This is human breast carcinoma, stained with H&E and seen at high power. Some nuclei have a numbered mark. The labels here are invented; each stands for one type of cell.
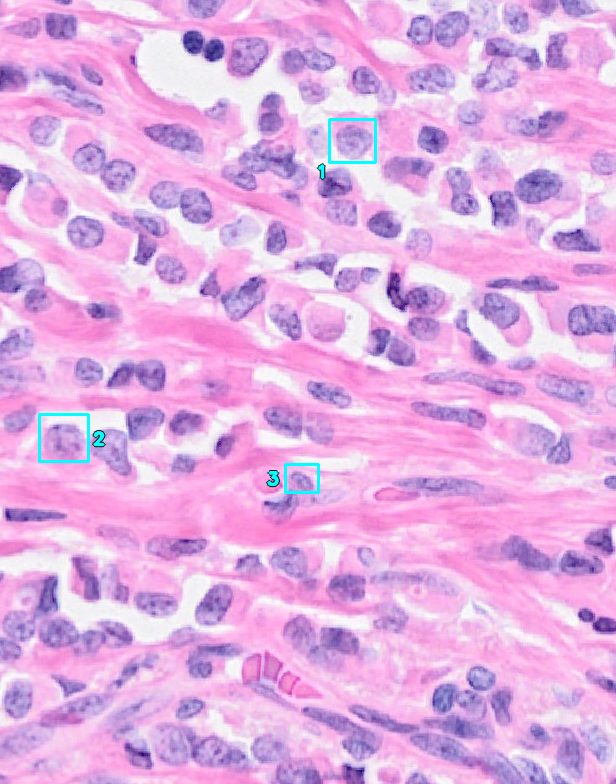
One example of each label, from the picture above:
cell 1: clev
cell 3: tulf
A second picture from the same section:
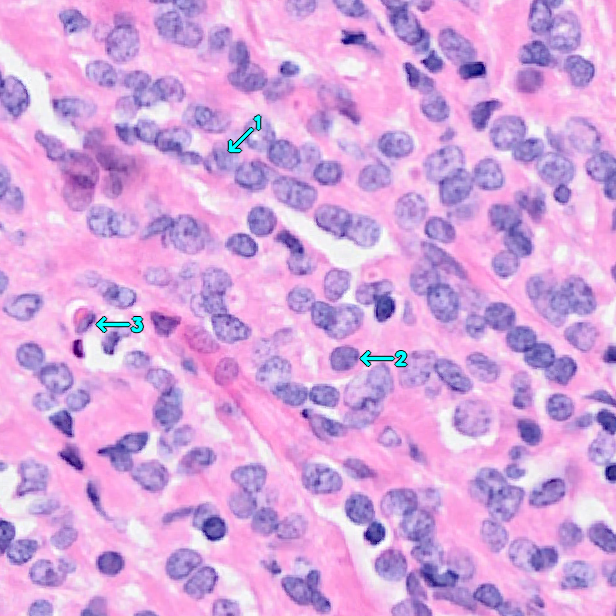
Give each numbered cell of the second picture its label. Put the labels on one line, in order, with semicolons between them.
clev; clev; tulf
